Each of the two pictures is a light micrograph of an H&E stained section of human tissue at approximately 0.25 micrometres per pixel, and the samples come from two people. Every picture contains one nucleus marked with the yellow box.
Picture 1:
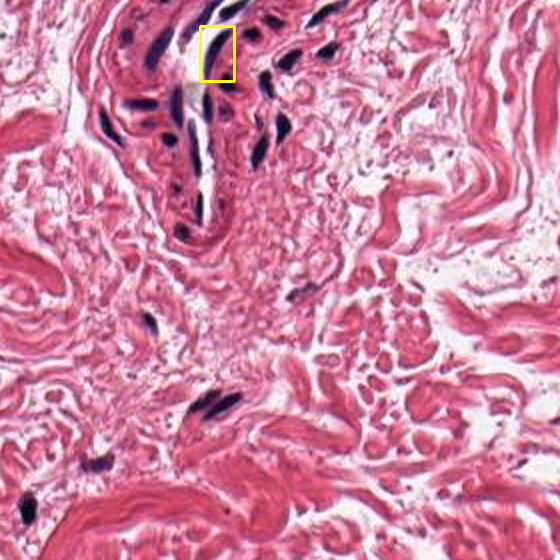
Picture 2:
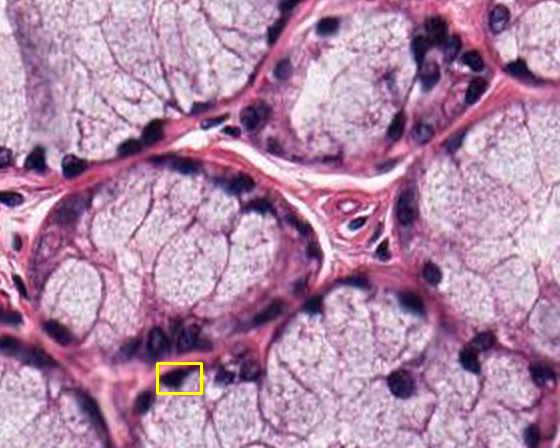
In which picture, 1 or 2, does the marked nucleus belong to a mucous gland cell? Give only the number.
2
